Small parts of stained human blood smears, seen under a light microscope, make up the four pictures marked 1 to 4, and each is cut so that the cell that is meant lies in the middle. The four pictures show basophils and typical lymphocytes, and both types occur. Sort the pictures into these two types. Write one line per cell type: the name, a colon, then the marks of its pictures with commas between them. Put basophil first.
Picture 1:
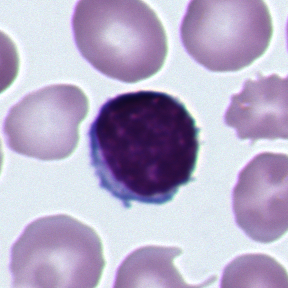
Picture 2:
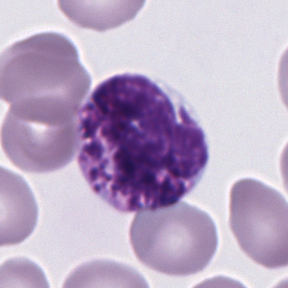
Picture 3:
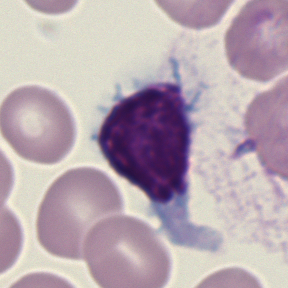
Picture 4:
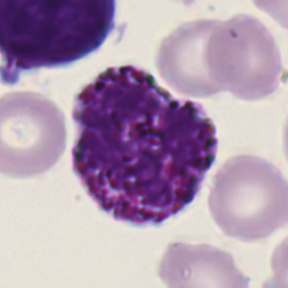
basophil: 2, 4
typical lymphocyte: 1, 3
